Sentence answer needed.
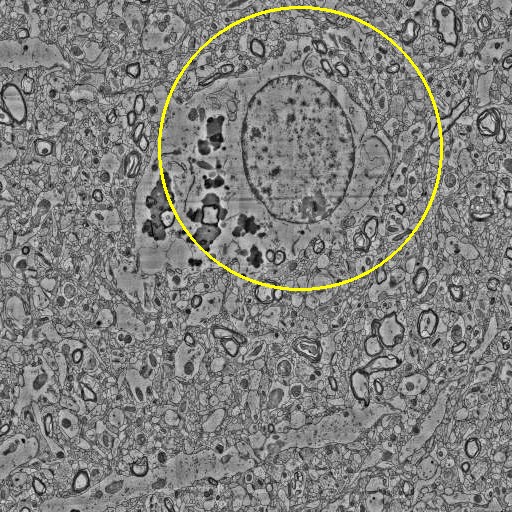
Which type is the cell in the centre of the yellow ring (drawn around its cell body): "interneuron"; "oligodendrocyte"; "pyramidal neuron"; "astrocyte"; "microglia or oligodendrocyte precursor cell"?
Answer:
In the centre of the yellow ring is an astrocyte.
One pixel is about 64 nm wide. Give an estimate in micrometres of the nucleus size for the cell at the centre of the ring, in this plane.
In this plane, the nucleus is roughly 10 by 7 micrometres.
